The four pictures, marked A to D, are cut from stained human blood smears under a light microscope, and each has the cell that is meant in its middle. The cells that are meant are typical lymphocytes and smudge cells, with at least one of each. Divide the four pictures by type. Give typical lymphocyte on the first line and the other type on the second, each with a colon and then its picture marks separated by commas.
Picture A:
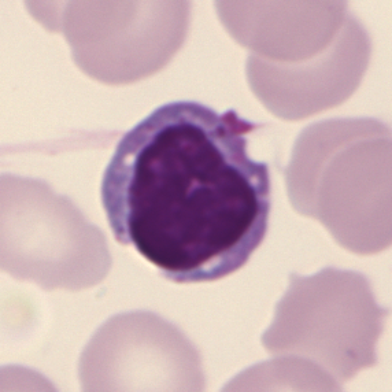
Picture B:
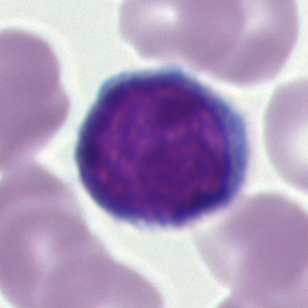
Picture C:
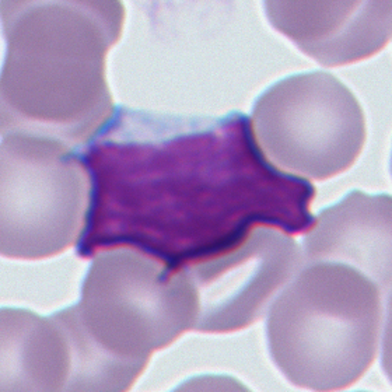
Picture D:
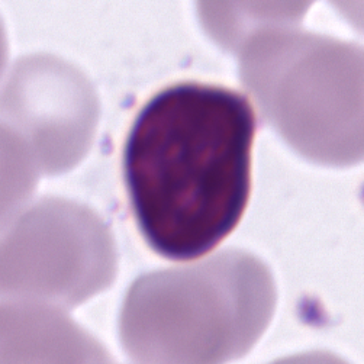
typical lymphocyte: A, B, C
smudge cell: D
